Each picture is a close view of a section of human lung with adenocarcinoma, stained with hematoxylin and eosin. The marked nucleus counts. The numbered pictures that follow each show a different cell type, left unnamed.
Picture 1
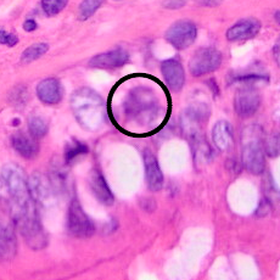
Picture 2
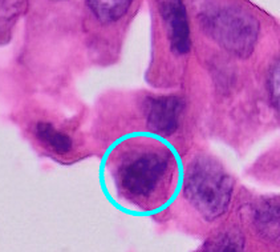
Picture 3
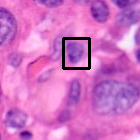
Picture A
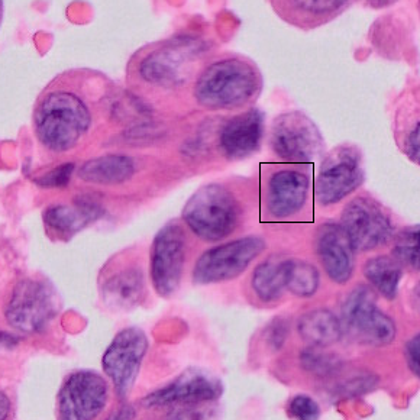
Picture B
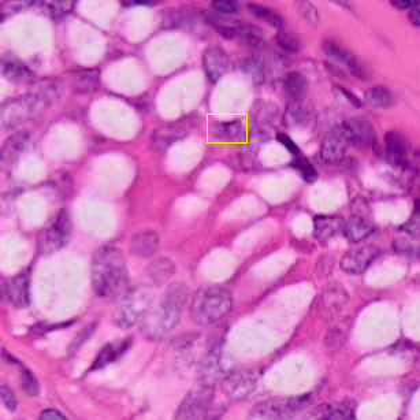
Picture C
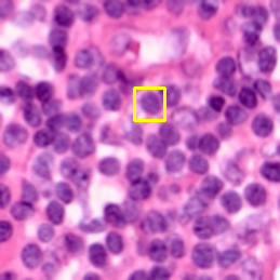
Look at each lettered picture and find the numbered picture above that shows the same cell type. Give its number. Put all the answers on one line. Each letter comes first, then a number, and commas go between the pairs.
A 2, B 1, C 3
